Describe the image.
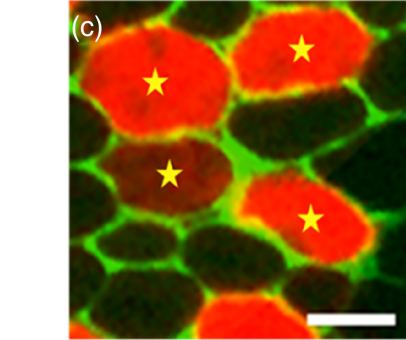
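Cross-section of skeletal muscle in which myofibers are seen as rounded-polygonal profiles, each outlined by a thin green rim. Several fibers are filled with red signal throughout their cytoplasm, one fiber shows a weaker, dimmer red, and the remaining fibers are dark inside. The green rims form a continuous network between adjacent fibers.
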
